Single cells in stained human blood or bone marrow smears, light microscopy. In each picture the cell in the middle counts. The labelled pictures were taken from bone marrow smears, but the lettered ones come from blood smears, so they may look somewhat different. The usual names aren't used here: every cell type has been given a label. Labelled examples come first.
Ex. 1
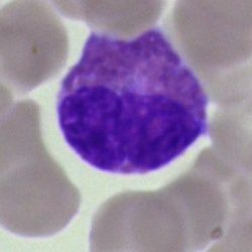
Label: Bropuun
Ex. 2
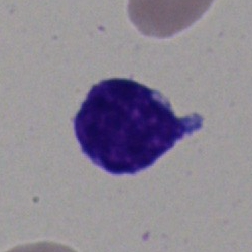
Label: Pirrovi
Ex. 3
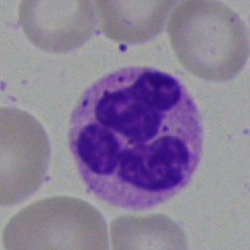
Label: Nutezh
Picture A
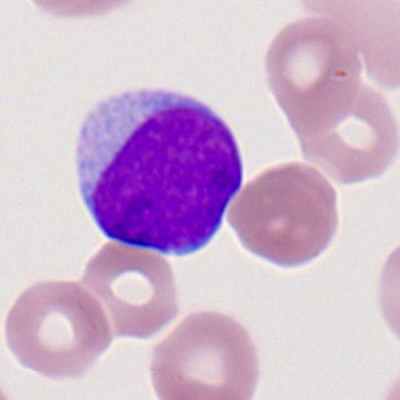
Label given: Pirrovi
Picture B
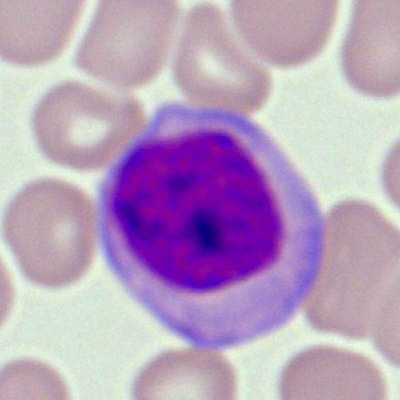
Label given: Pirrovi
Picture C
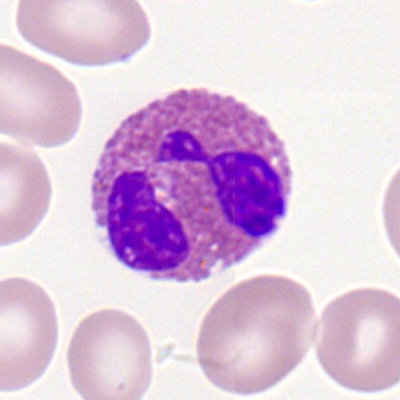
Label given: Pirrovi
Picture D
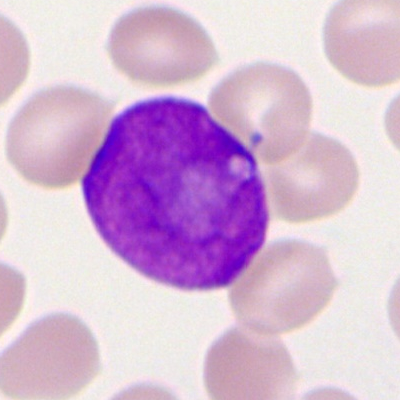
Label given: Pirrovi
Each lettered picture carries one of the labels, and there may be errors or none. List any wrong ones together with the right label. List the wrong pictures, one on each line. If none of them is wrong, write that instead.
C: Bropuun, not Pirrovi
